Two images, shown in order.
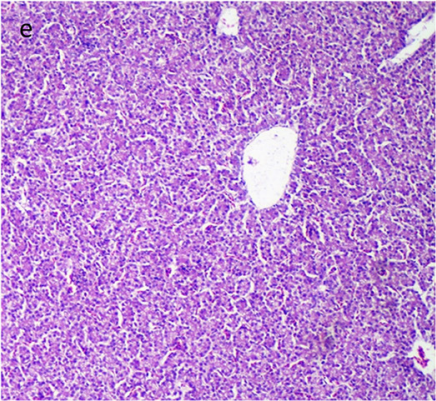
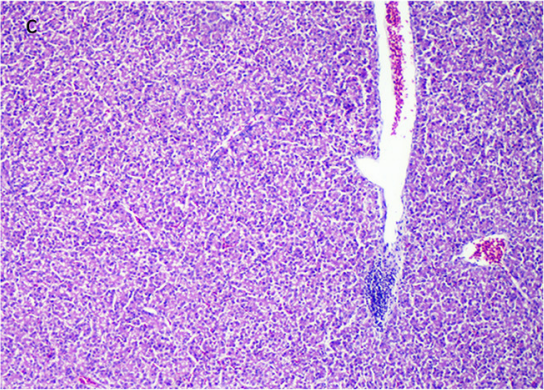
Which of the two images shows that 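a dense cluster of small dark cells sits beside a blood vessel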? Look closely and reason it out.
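The second image. First image: the central vessel is empty and surrounded by pink cords of cells without a dark cluster. Second image: a dense dark purple cluster of small nuclei lies at the lower end of the elongated vessel.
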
